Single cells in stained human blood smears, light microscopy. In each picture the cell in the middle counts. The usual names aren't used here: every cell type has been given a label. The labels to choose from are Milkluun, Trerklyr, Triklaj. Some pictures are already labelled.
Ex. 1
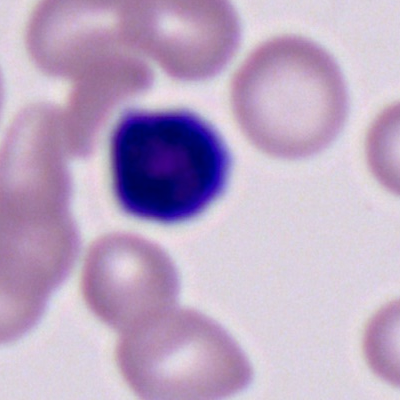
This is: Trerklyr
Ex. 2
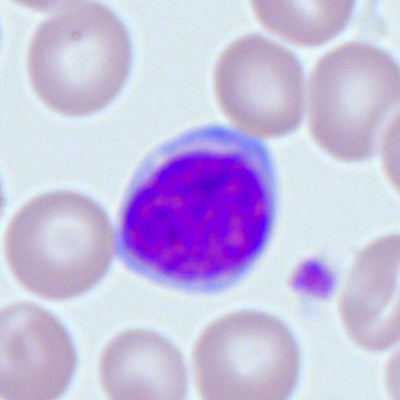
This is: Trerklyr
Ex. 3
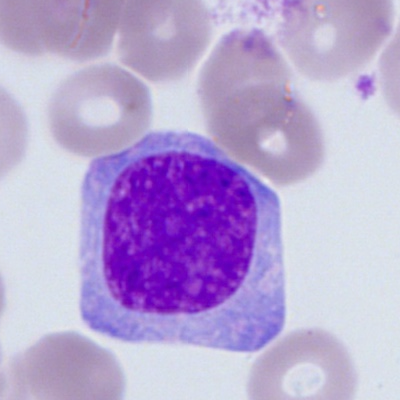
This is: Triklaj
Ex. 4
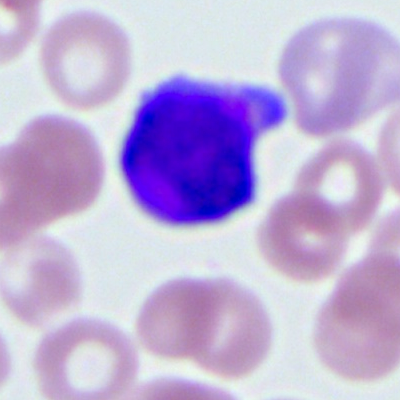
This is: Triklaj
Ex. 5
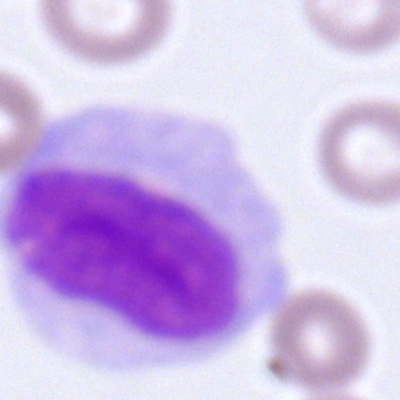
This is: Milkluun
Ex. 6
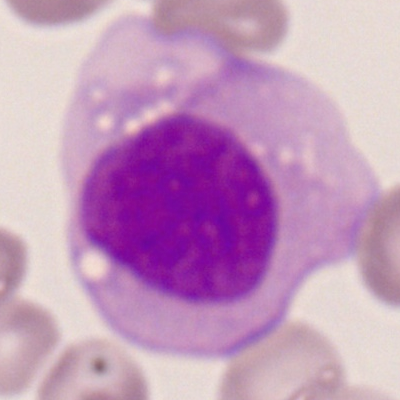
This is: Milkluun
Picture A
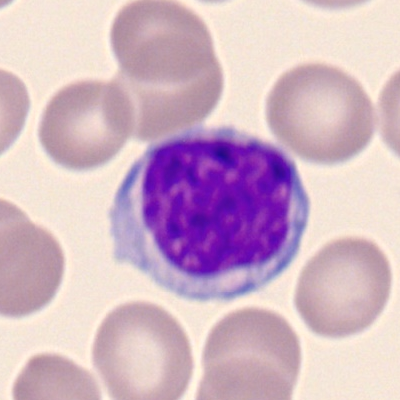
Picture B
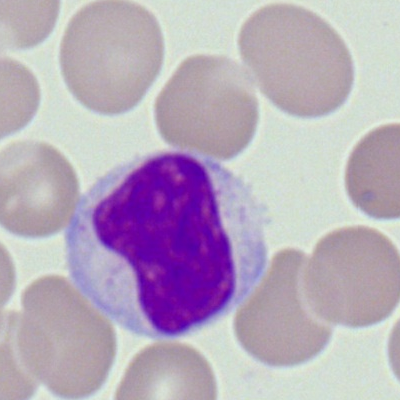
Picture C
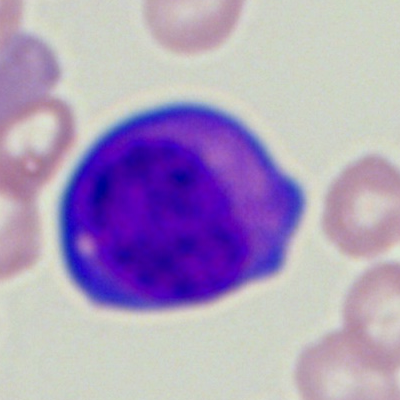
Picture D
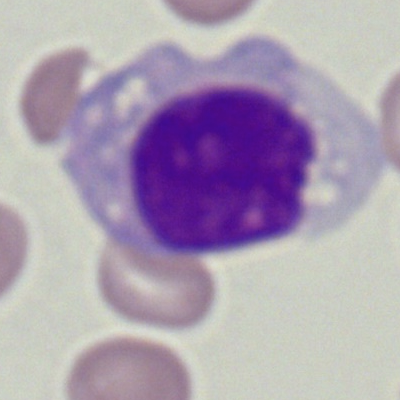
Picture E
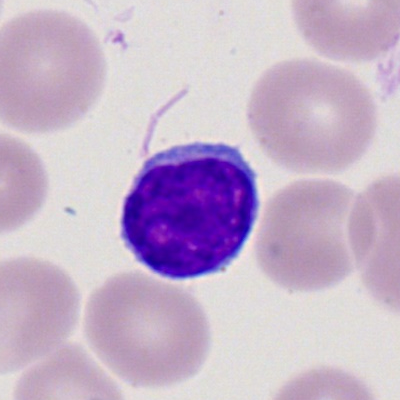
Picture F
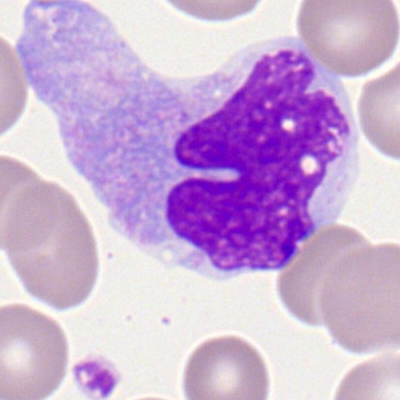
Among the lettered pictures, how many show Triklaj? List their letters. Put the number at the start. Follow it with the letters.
Count: 1 (C)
